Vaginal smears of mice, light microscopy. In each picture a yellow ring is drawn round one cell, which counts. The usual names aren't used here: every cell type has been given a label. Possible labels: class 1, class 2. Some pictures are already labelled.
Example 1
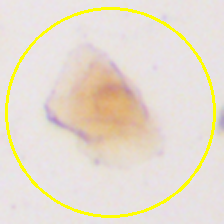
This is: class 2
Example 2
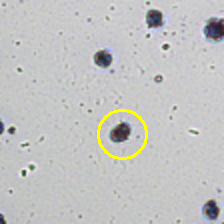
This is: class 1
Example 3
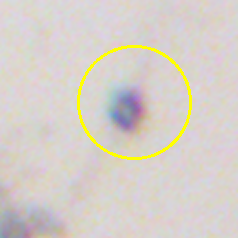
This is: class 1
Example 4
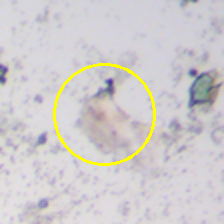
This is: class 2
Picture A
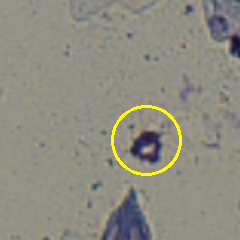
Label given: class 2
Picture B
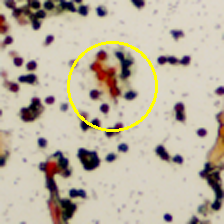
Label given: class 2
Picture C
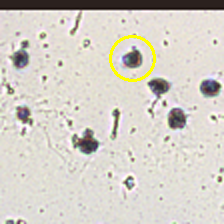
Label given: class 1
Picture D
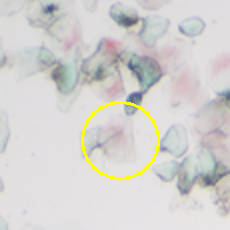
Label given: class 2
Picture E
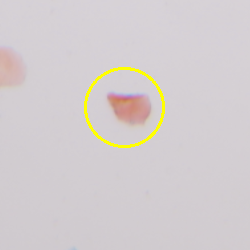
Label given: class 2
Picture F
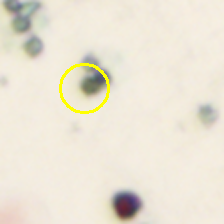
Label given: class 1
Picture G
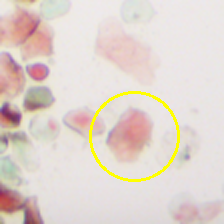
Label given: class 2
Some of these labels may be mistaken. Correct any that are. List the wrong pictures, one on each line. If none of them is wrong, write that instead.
A is labelled class 2; correct label: class 1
